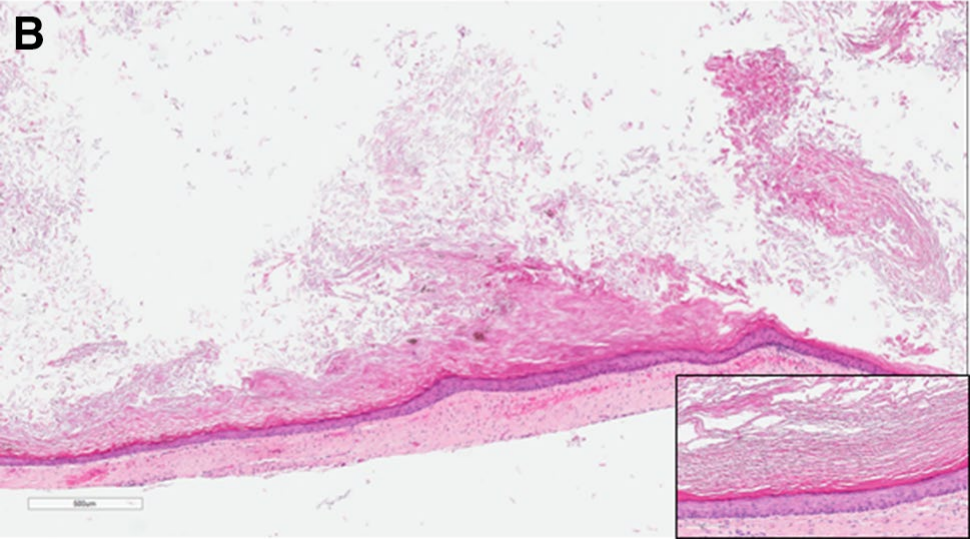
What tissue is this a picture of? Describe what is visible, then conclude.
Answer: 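A thin band of layered purple-staining epithelial cells lines the wall. A bright pink keratin layer covers the inner surface of the epithelium. Loose pink keratin lamellae fill the lumen above.
Orthokeratinized stratified squamous epithelium.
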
